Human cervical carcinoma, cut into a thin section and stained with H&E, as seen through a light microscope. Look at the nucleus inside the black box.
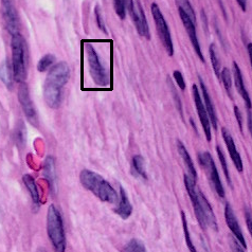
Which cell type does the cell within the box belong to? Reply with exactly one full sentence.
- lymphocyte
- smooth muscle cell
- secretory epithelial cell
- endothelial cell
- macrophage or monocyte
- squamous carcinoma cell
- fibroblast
Speaking plainly, the cell within the box is nothing other than a fibroblast.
